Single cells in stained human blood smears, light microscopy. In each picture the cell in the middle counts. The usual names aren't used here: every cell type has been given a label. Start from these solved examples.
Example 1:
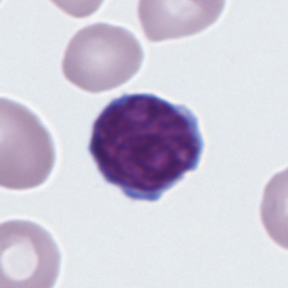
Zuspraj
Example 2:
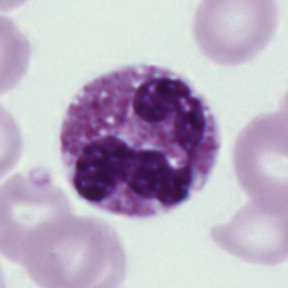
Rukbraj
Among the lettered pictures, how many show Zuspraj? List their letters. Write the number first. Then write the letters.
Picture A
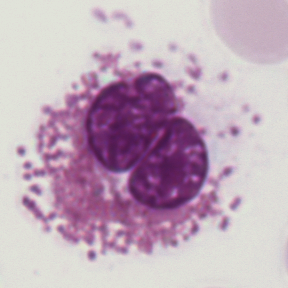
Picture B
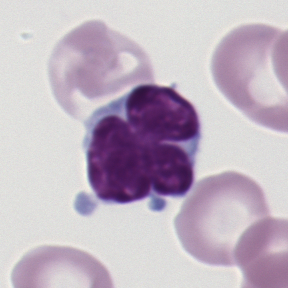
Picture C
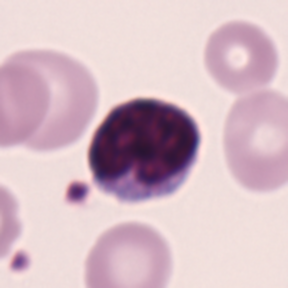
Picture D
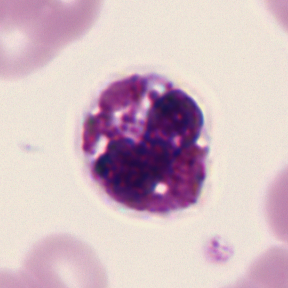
2, namely B, C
